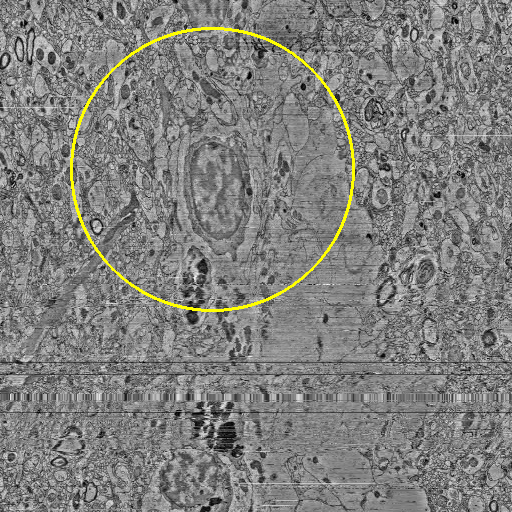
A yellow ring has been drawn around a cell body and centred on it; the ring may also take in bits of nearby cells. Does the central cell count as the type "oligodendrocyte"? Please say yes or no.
yes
